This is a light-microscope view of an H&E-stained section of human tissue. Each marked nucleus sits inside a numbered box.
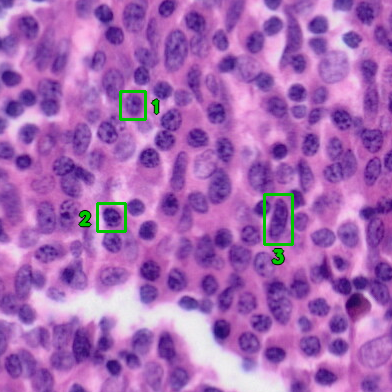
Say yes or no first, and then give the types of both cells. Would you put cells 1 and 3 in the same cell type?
No, the proper labels are a plasma cell for cell 1 and a squamous epithelial cell for cell 3.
